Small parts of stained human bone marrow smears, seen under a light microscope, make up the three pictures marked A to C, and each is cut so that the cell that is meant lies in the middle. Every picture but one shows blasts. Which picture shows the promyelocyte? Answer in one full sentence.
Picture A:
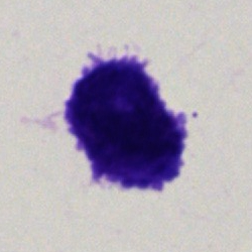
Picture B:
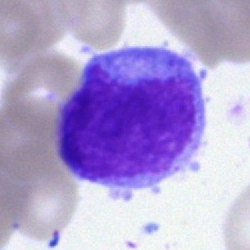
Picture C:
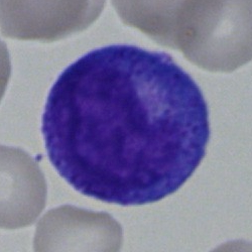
It is picture C that shows the promyelocyte.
